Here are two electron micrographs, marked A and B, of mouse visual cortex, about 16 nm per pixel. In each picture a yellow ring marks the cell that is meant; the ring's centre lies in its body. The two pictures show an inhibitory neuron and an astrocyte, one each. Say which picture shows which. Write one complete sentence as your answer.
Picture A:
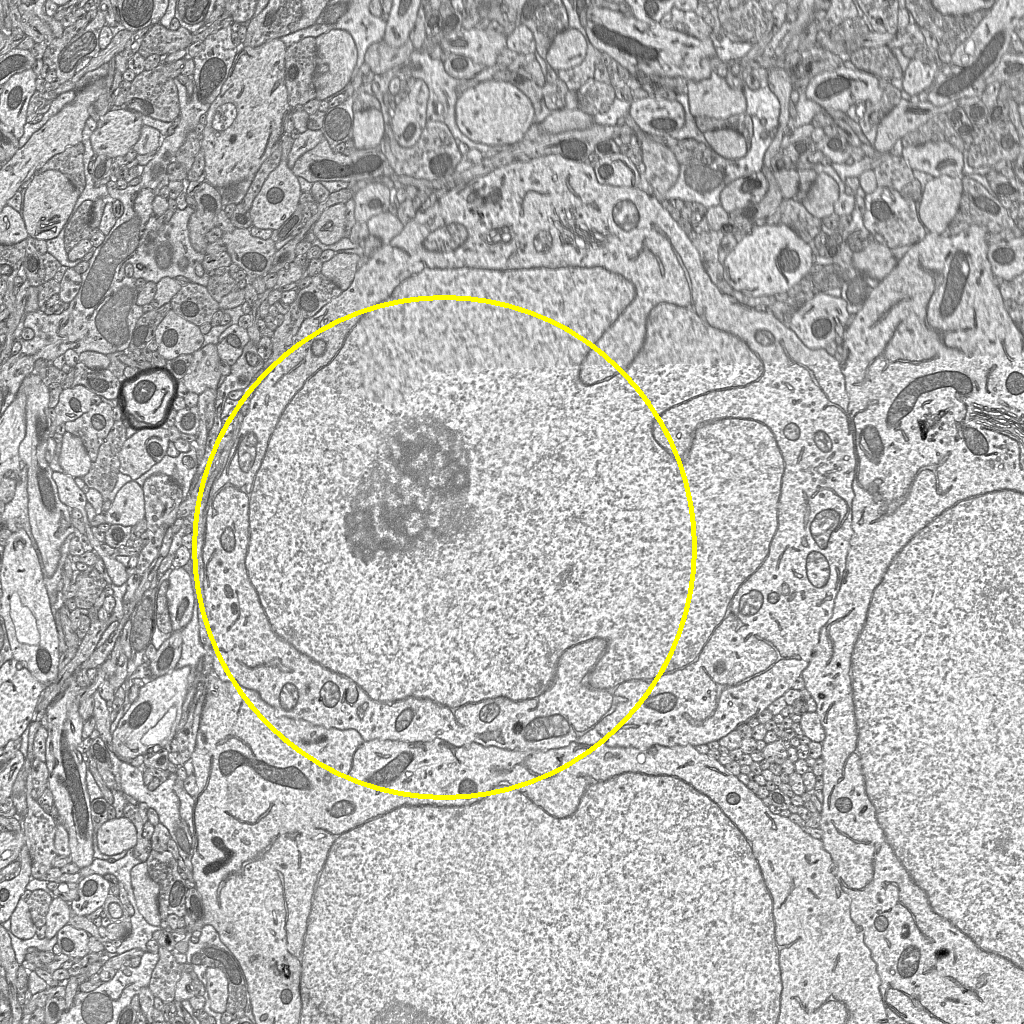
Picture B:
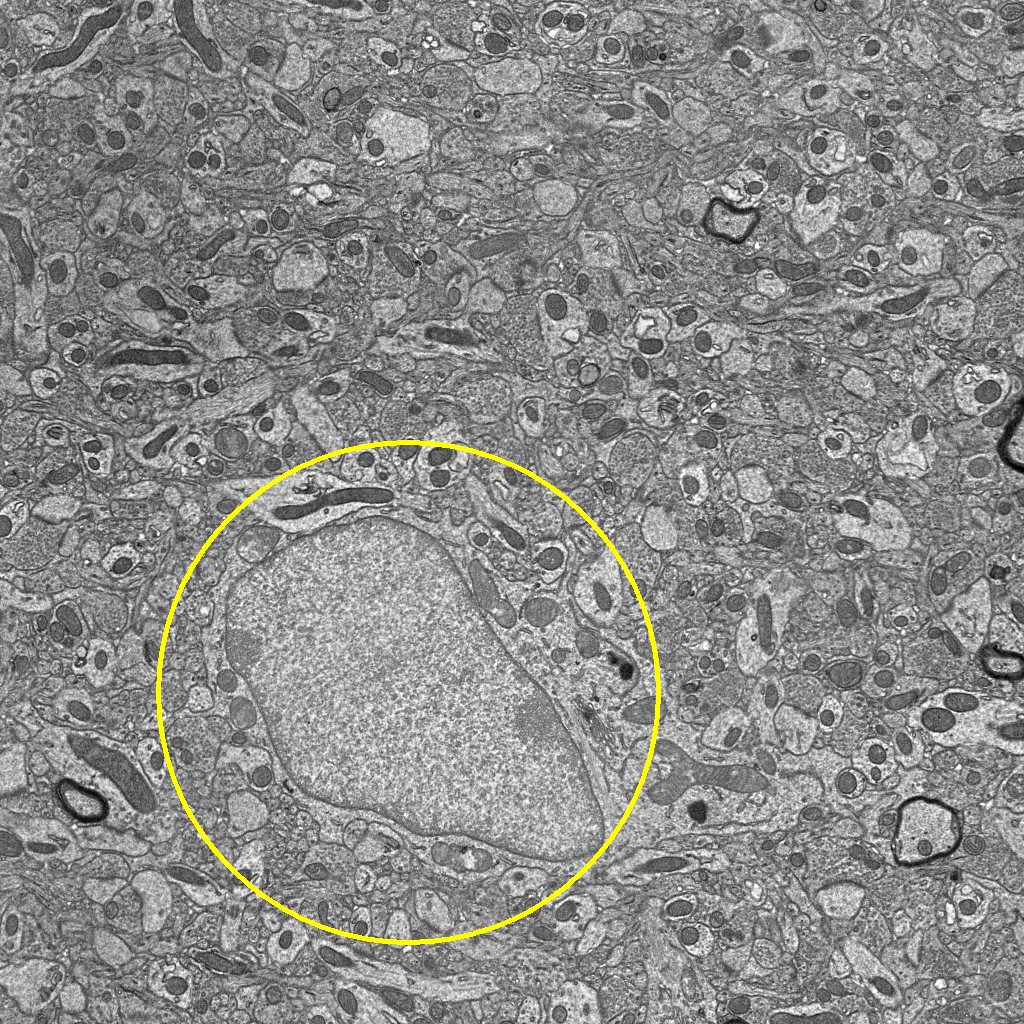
It is picture A that shows an inhibitory neuron, and picture B that shows an astrocyte.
